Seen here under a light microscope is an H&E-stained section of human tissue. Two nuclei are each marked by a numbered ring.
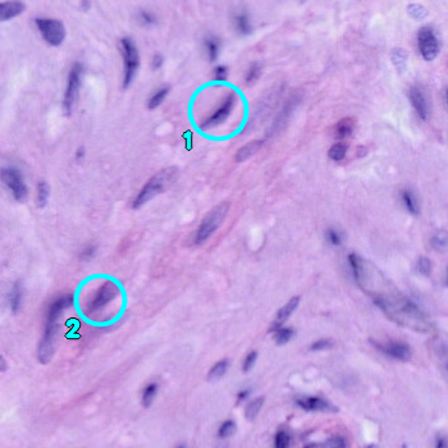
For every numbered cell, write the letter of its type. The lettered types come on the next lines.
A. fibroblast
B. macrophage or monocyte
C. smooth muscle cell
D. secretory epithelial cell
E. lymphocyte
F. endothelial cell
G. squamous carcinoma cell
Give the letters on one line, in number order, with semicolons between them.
A; C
